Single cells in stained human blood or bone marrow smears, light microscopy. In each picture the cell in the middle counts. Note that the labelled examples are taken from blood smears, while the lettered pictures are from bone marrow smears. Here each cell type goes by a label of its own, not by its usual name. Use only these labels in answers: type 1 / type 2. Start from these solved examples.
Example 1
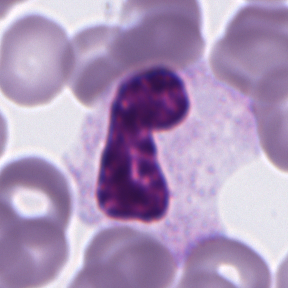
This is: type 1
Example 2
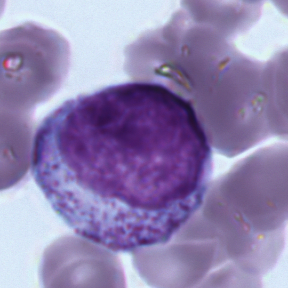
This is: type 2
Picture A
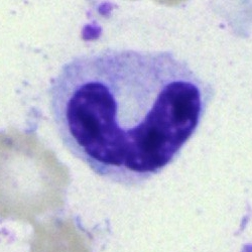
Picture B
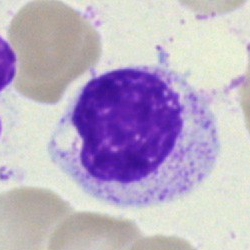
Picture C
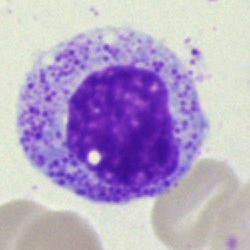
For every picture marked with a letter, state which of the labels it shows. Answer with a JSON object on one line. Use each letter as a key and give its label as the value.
{"A": "type 1", "B": "type 2", "C": "type 2"}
